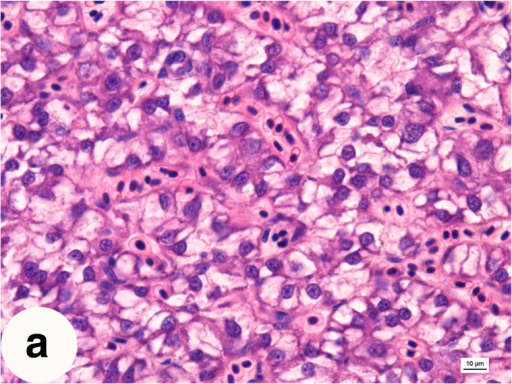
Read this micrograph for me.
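This is liver parenchyma made of hepatocytes arranged in irregular cords separated by narrow sinusoids. Between the cords run sinusoids containing small cells with dark, oval nuclei, and thin elongated nuclei line the vessel walls. No pigmented cells or dilated spaces stand out.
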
